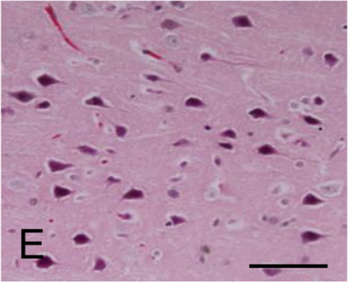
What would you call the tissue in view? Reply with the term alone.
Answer: cerebral cortex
